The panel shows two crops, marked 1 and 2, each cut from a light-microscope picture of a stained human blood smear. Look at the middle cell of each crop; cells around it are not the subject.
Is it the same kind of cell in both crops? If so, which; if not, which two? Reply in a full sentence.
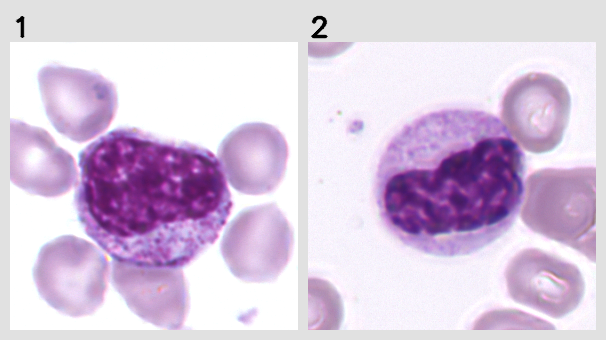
Yes, it is metamyelocytes that occupy the middle of both crops.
